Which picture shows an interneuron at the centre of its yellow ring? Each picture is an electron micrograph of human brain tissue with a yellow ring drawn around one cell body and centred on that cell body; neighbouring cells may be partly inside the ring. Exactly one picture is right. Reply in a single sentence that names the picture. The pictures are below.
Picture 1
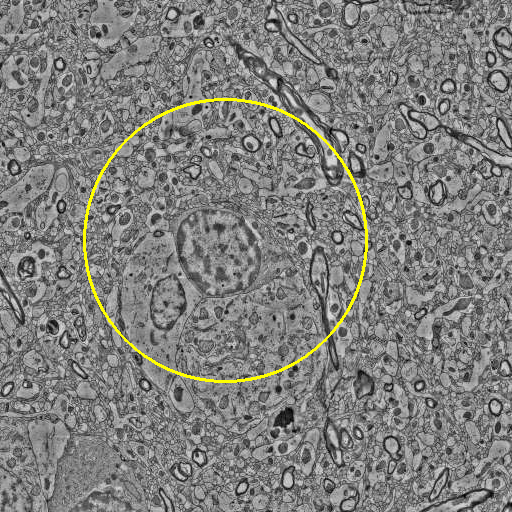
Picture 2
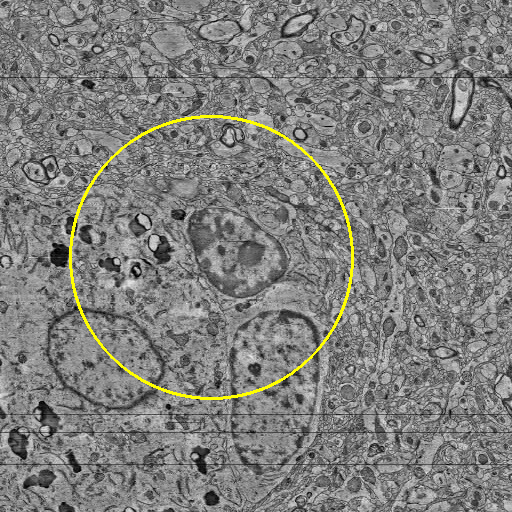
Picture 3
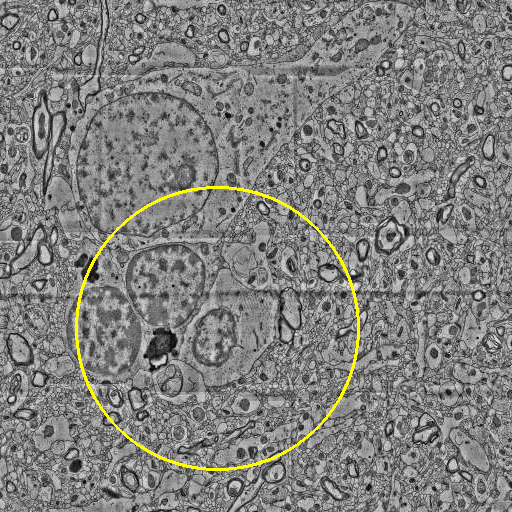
Picture 3 shows it.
